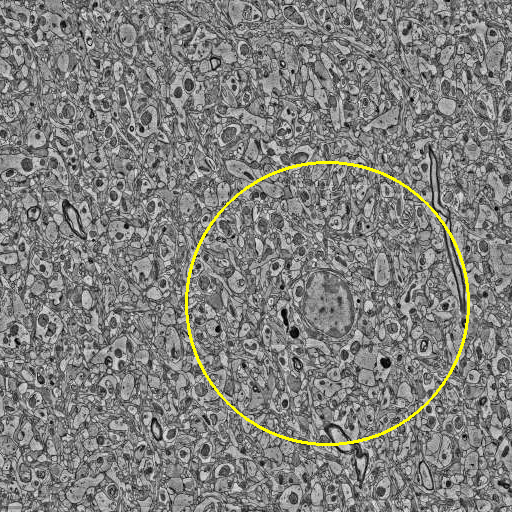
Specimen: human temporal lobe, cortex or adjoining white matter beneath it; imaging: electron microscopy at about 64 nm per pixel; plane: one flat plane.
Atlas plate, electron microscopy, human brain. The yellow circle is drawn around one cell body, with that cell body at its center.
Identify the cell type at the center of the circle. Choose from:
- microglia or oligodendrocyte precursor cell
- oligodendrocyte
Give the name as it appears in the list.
microglia or oligodendrocyte precursor cell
